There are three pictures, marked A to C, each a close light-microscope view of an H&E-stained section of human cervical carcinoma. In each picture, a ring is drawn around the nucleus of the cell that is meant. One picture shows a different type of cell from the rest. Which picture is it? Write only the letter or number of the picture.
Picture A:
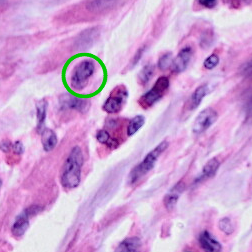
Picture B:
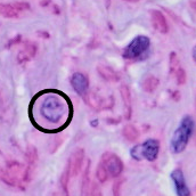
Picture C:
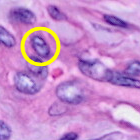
C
